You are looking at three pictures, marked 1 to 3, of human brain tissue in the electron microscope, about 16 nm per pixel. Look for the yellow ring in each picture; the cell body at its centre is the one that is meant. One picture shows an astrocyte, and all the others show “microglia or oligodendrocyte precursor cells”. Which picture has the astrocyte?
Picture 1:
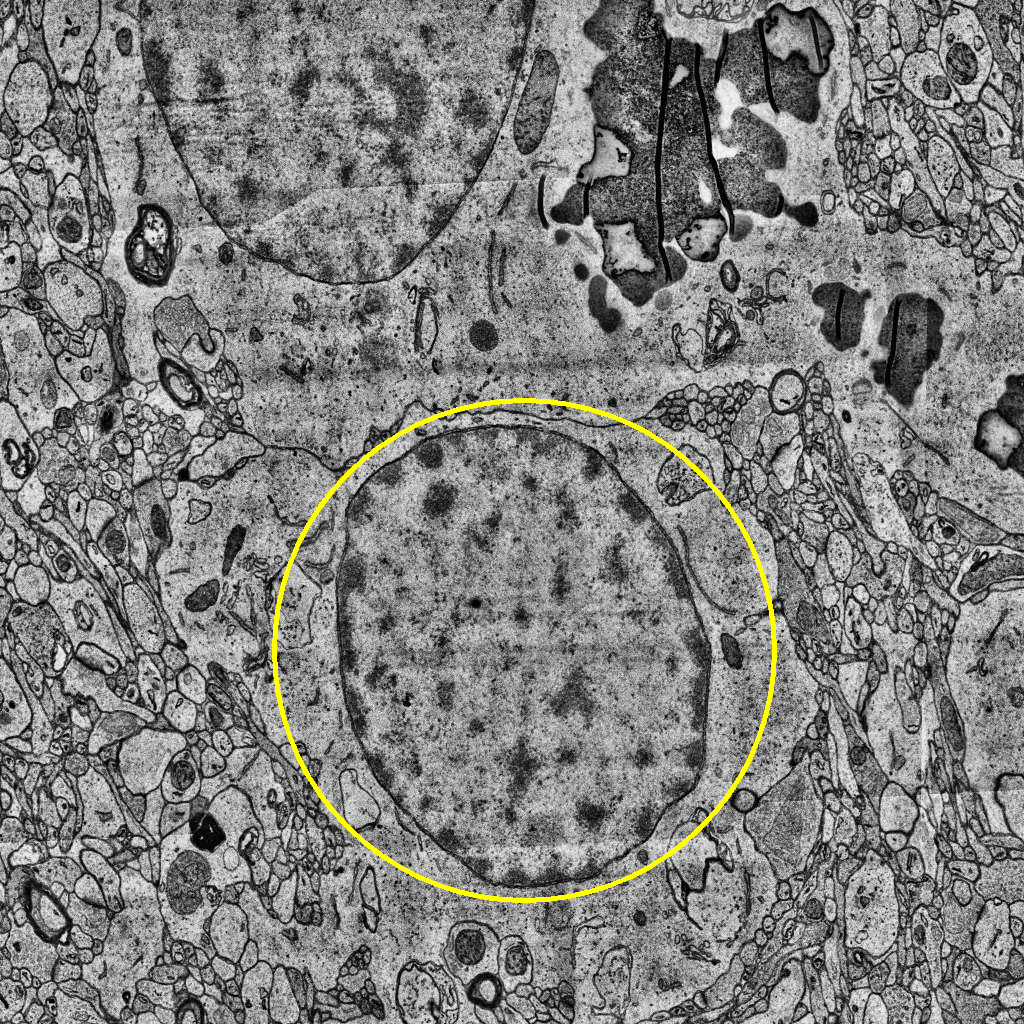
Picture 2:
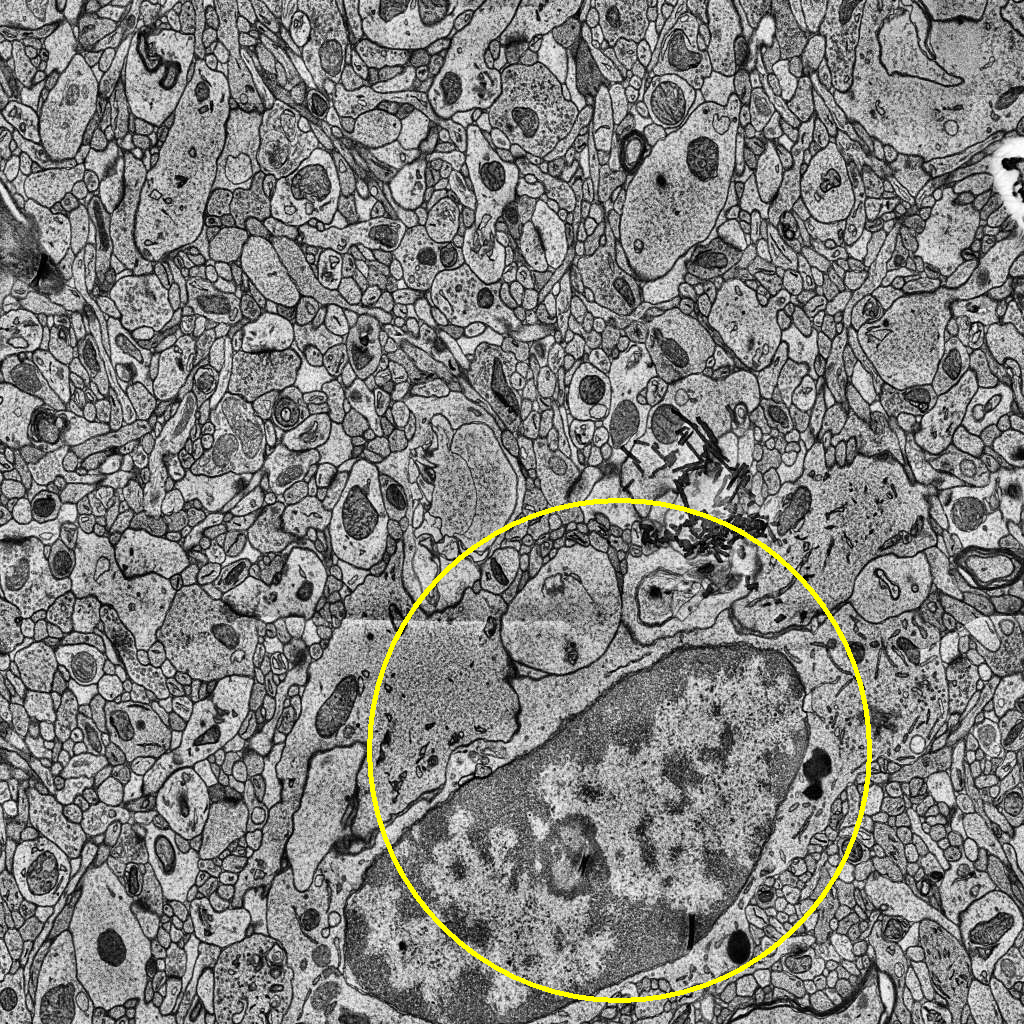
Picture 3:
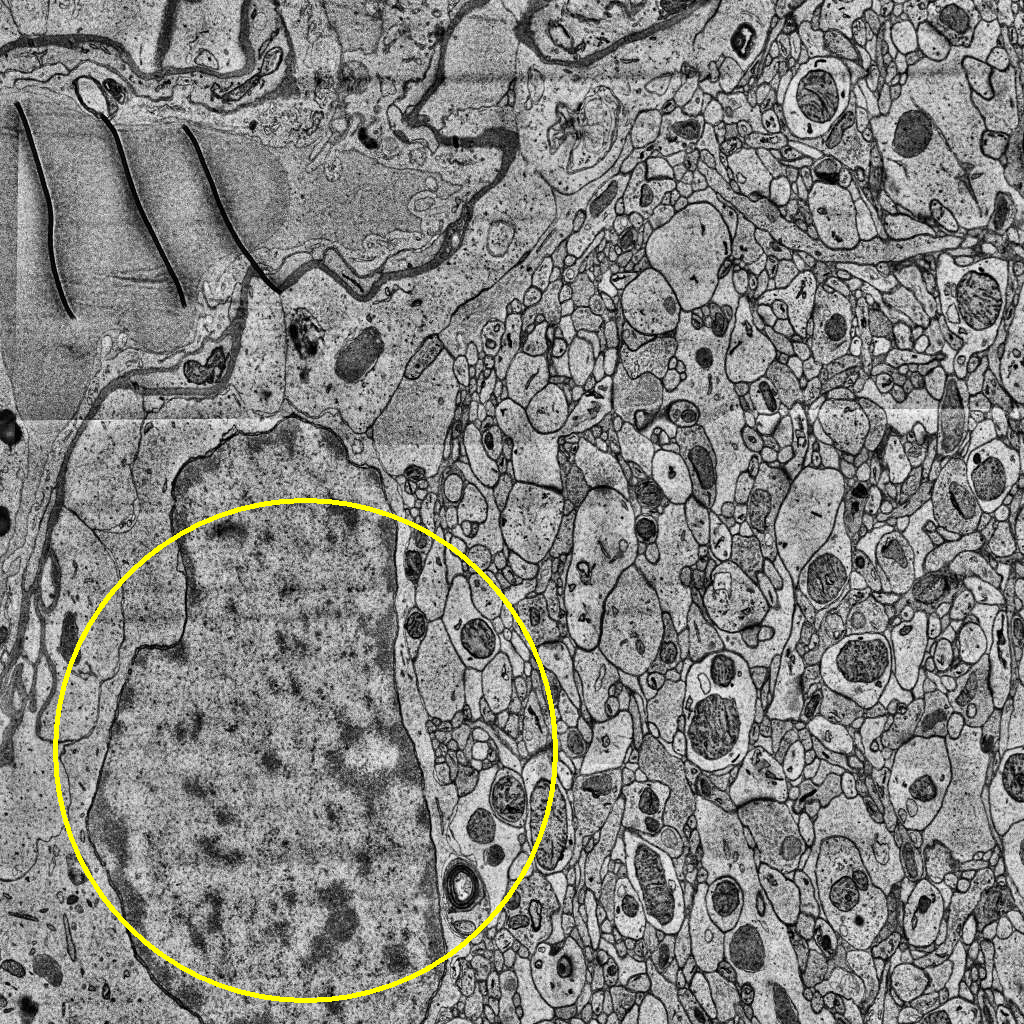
The astrocyte is the one in picture 1.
